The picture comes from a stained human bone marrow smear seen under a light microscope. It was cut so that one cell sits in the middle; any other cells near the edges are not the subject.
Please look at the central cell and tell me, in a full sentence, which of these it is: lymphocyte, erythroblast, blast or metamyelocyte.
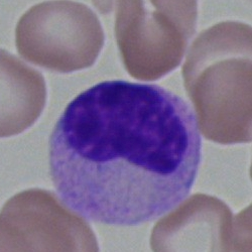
What the crop centres on is a metamyelocyte.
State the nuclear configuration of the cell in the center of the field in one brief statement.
One compact mass makes up the whole nucleus, round, oval or kidney-shaped.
